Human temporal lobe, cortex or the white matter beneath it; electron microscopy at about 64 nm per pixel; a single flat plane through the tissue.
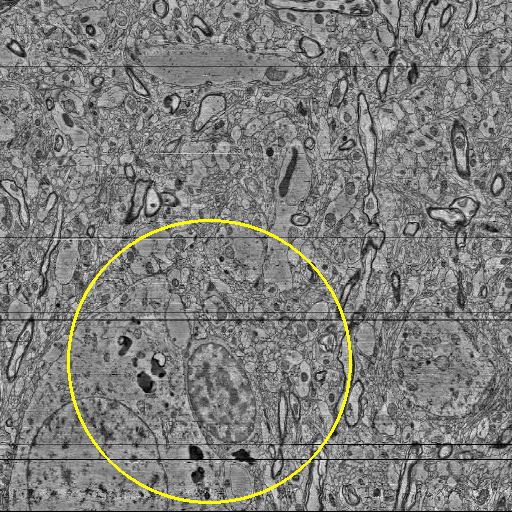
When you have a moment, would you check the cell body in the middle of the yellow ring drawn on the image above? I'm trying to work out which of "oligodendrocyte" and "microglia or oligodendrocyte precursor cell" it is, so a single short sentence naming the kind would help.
This cell body belongs to an oligodendrocyte.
